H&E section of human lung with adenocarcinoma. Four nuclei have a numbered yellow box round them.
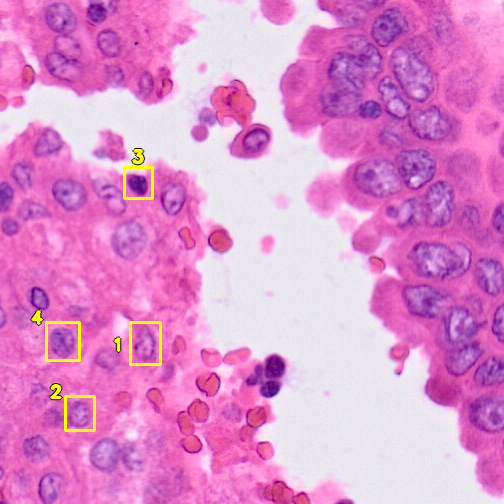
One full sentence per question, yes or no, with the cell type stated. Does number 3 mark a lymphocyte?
Yes, cell number 3 in this section is a lymphocyte.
